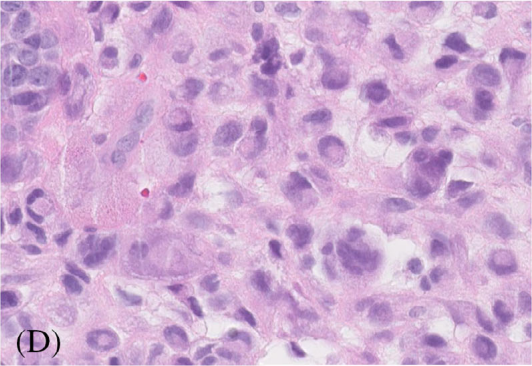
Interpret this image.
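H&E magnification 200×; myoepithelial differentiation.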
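Here the tumour cells take on a signet ring cell appearance. The cells lie loosely in sheets with pale pink, somewhat fibrillary cytoplasm. Many nuclei are pushed to one side of the cell, round to oval, and darkly stained, some large and irregular. Cell borders are indistinct, and the cells vary in size and shape. No glandular lumens or keratin are seen in this field.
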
